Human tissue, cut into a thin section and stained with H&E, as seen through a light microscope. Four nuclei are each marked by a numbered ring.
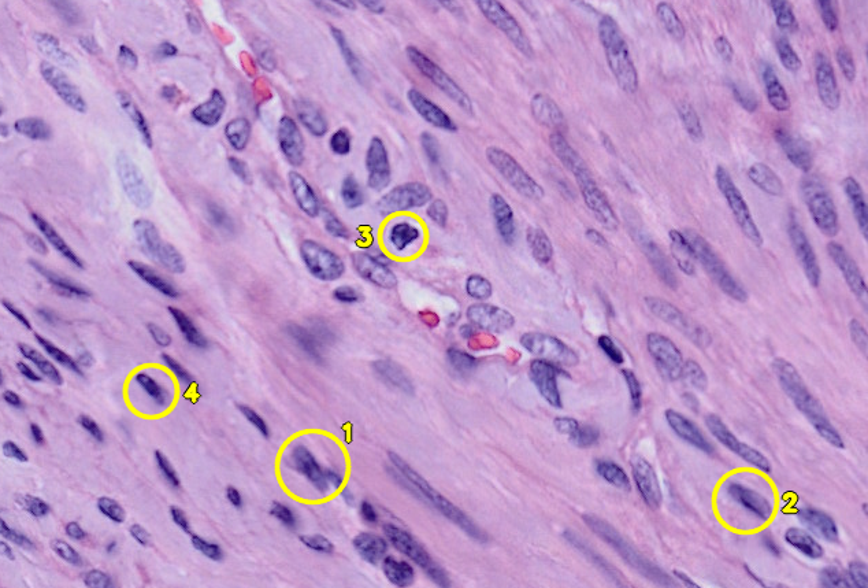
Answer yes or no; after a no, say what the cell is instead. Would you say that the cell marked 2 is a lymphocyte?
No, it is a fibroblast.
